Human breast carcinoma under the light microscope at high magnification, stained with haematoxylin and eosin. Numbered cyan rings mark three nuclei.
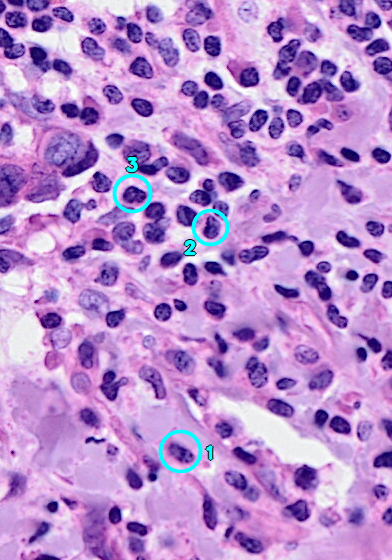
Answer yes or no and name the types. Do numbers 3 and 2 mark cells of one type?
Yes, cells 3 and 2 are both classed as lymphocytes.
